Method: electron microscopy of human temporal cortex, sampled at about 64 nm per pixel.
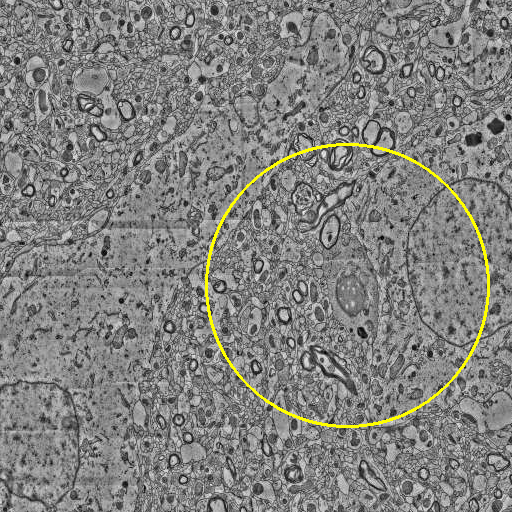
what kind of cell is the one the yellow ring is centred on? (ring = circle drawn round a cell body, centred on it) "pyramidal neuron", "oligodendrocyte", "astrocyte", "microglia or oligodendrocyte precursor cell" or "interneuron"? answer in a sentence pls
The ring is drawn around an oligodendrocyte.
